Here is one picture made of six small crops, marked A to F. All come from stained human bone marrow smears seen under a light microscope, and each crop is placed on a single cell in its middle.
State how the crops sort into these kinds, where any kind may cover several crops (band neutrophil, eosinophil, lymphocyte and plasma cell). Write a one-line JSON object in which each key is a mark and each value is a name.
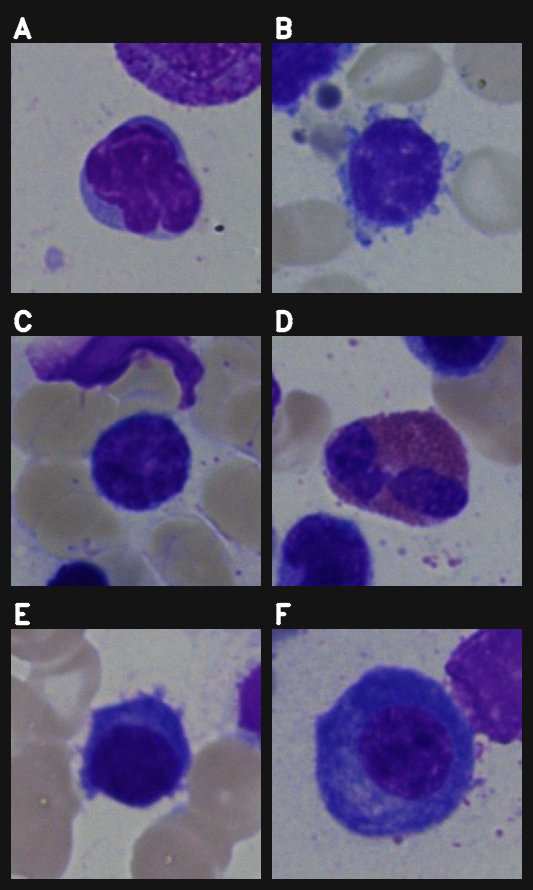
{"A": "lymphocyte", "B": "lymphocyte", "C": "lymphocyte", "D": "eosinophil", "E": "plasma cell", "F": "plasma cell"}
